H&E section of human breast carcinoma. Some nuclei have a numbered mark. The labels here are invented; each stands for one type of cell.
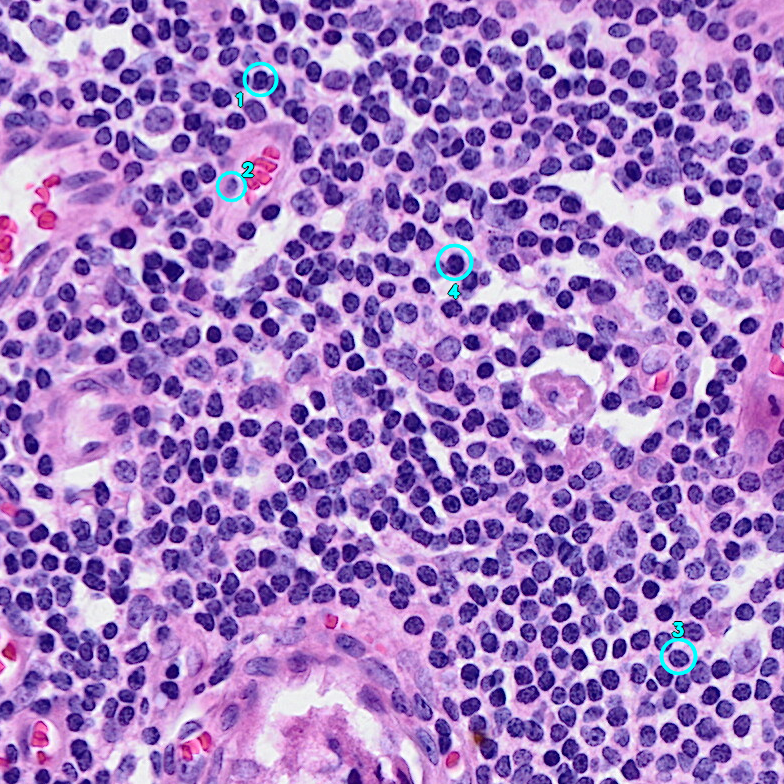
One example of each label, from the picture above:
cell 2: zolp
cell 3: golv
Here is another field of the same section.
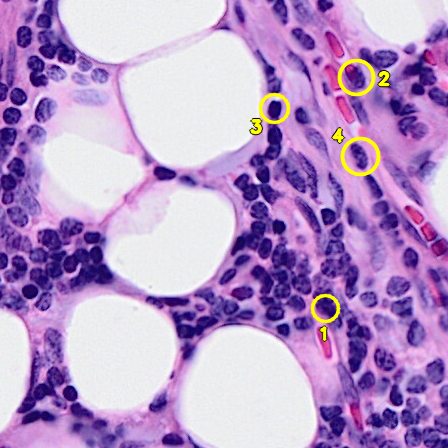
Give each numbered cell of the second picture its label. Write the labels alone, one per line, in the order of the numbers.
golv
zolp
golv
golv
